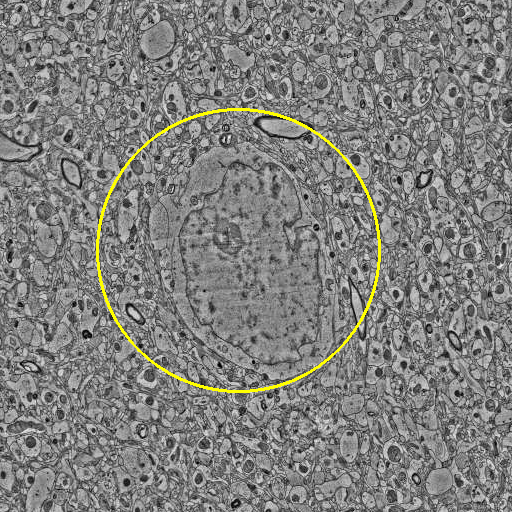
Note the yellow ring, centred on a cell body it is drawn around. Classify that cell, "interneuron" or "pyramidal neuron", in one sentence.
The cell the ring is centred on is an interneuron.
